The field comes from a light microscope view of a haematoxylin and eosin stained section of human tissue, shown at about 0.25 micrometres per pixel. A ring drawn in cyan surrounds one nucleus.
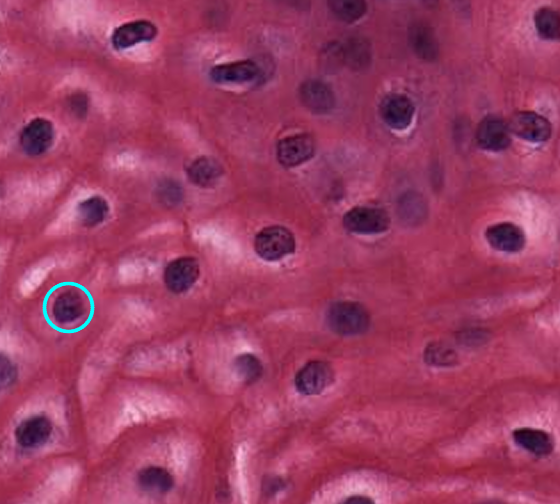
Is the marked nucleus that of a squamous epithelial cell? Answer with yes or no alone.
yes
